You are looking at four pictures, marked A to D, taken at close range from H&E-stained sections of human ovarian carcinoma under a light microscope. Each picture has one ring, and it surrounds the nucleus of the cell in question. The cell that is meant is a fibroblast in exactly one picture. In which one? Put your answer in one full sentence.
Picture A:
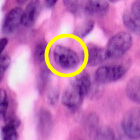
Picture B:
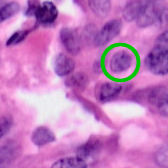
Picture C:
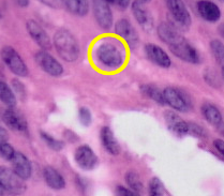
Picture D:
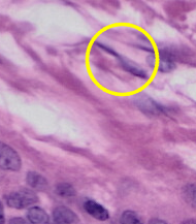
Picture D shows the fibroblast.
